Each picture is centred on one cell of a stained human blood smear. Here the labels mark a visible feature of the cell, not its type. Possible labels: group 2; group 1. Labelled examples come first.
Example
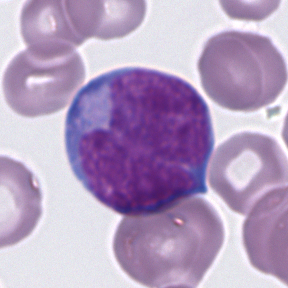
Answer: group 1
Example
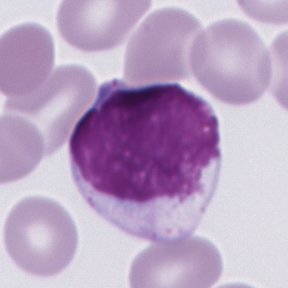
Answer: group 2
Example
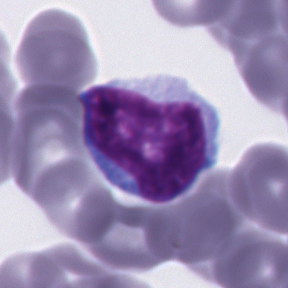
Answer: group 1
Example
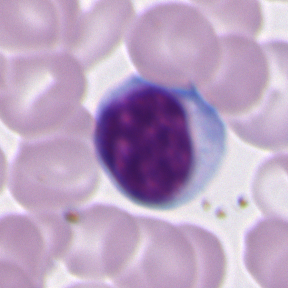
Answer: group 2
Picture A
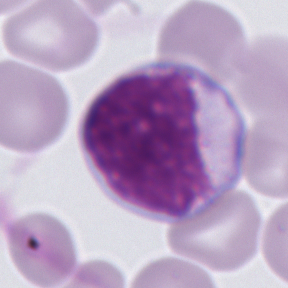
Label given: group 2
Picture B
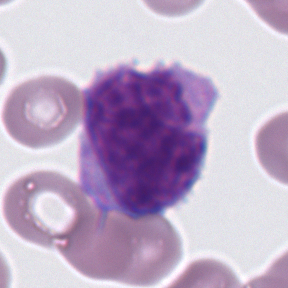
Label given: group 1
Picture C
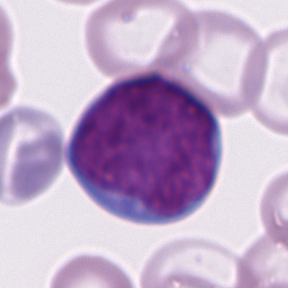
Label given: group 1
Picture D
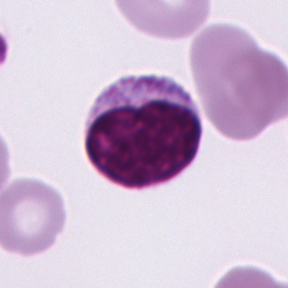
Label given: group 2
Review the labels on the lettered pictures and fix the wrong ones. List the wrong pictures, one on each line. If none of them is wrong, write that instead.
Wrong: C (group 1); correct: group 2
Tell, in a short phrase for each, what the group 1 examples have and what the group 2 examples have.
group 1, ragged outline or projections; group 2, smooth outline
